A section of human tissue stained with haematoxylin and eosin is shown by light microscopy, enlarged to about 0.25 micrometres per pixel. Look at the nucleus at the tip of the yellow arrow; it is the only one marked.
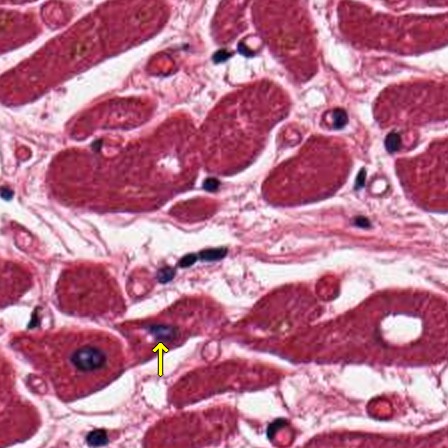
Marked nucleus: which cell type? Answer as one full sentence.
The nucleus with the mark belongs to a cardiomyocyte.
